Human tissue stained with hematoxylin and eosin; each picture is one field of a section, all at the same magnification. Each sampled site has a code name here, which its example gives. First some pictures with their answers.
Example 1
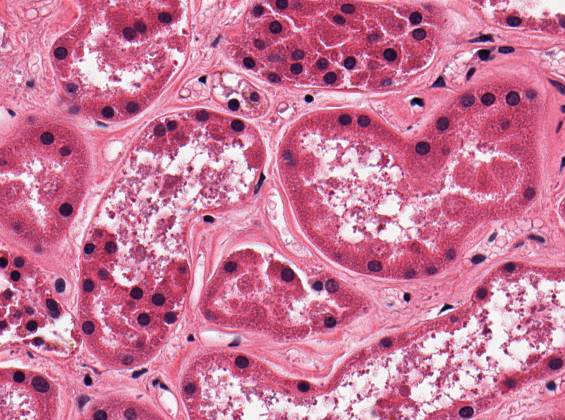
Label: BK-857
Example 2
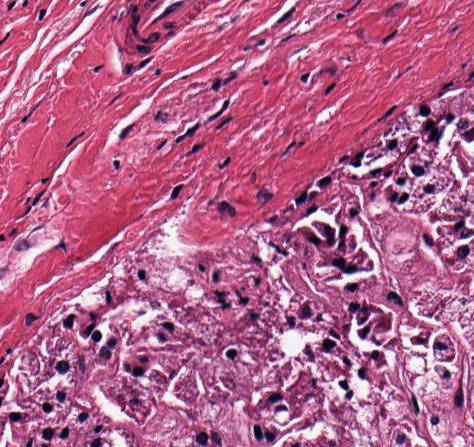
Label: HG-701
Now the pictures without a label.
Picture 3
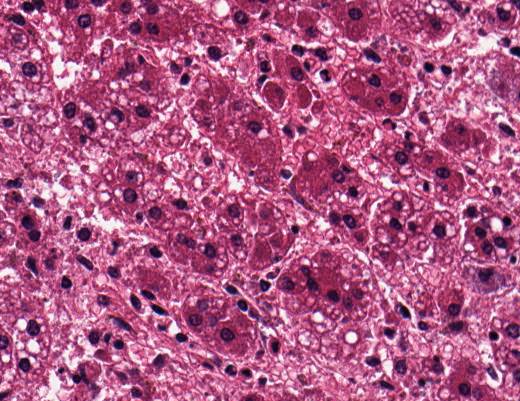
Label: HG-701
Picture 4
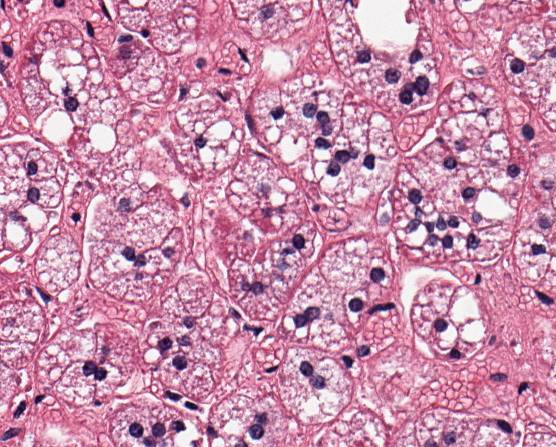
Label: HG-701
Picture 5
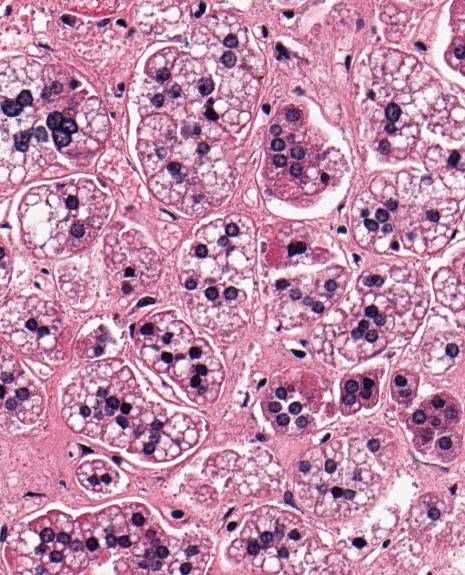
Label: HG-701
